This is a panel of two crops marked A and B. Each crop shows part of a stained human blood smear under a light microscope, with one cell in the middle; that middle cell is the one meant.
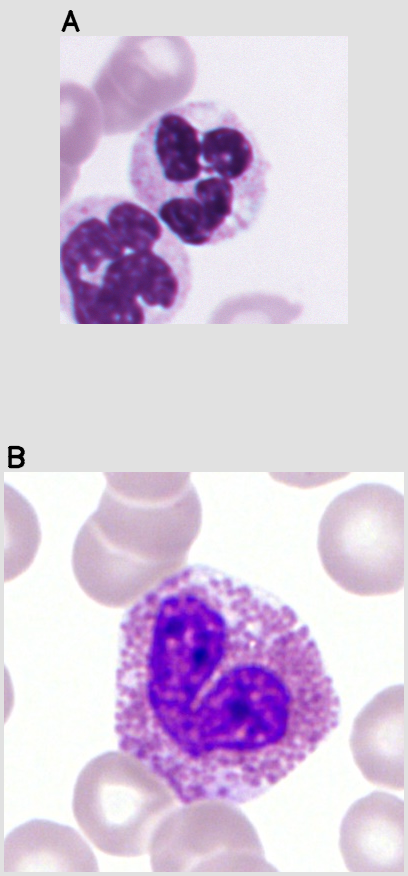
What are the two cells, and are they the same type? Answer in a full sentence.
No, an eosinophil is in crop B, and a segmented neutrophil is in crop A.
